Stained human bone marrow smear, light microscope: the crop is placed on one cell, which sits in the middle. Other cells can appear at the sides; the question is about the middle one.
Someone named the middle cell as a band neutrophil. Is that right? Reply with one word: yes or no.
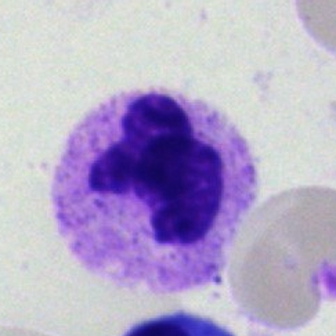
no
